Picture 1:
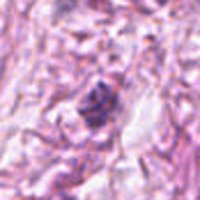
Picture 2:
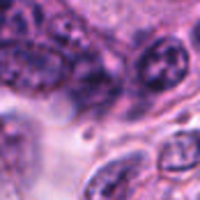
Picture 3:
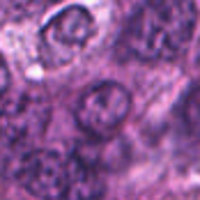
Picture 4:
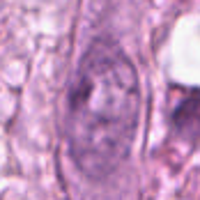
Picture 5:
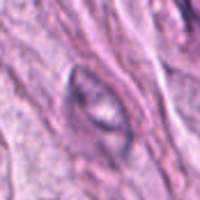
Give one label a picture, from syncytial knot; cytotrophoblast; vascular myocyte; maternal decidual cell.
1: vascular myocyte
2: syncytial knot
3: cytotrophoblast
4: maternal decidual cell
5: maternal decidual cell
